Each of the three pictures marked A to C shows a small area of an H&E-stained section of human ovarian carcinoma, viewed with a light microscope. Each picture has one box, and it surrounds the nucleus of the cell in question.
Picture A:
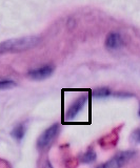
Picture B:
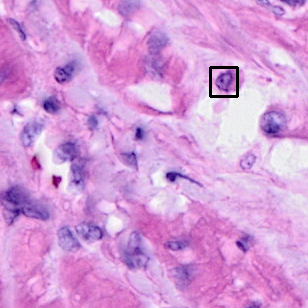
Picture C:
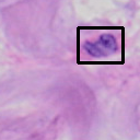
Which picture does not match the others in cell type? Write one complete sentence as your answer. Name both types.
Picture A differs, because its cell is an endothelial cell and the rest are “macrophages or monocytes”.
